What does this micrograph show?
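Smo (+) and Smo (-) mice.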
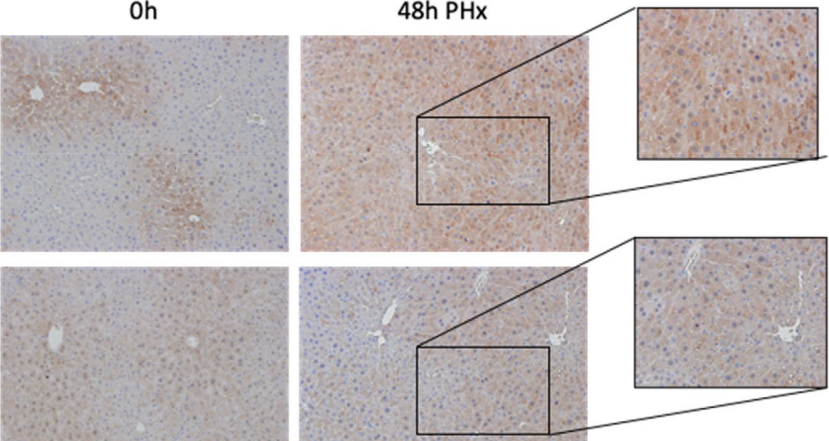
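These are sections of liver, made up almost entirely of hepatocytes: large polygonal cells with round, centrally placed blue nuclei and plenty of cytoplasm. The cells lie in sheets and plates, interrupted here and there by small round vessel lumina. In one field the brown staining is patchy and gathered in zones around some of the vessels, while the parenchyma in between stays pale. In another field the brown colour fills the cytoplasm of hepatocytes throughout, as the enlarged inset shows, with the nuclei left blue.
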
